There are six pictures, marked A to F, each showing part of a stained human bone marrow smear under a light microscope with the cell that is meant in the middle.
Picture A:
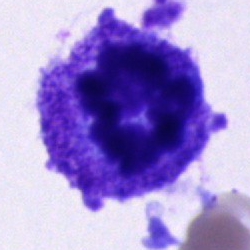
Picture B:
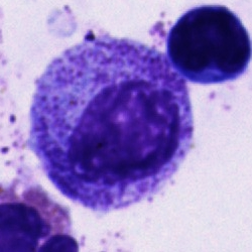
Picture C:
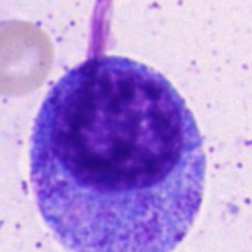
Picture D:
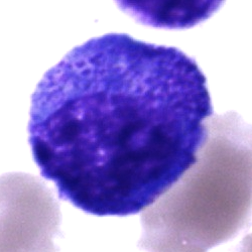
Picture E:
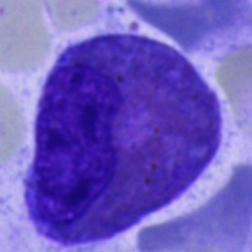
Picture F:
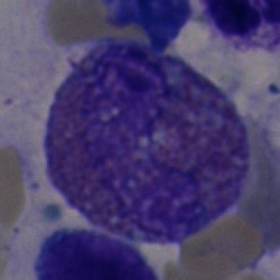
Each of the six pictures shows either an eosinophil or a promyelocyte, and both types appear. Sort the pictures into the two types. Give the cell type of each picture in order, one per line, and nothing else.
promyelocyte
promyelocyte
promyelocyte
promyelocyte
eosinophil
eosinophil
